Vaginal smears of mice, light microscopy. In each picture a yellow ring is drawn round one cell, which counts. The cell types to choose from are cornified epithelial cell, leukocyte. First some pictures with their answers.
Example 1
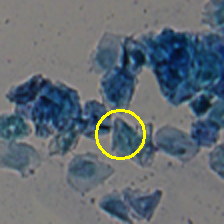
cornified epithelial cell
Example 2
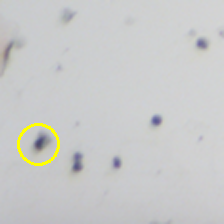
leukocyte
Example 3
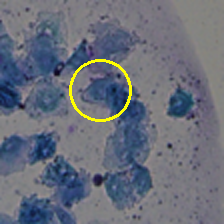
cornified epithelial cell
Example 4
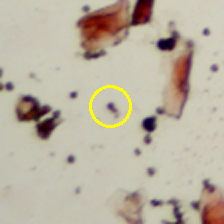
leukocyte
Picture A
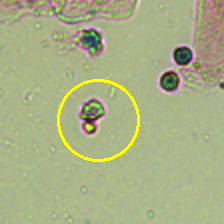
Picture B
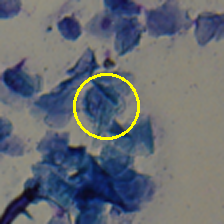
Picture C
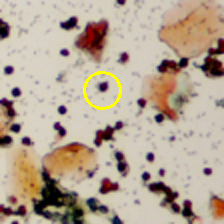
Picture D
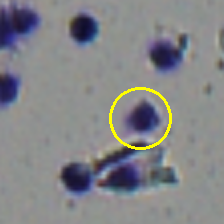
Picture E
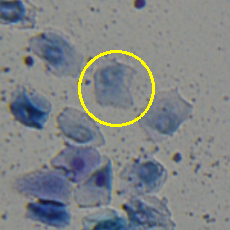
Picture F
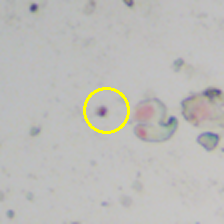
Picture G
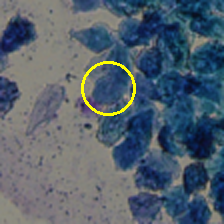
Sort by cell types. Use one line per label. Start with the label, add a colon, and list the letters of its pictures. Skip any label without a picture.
cornified epithelial cell: B, E, G
leukocyte: A, C, D, F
